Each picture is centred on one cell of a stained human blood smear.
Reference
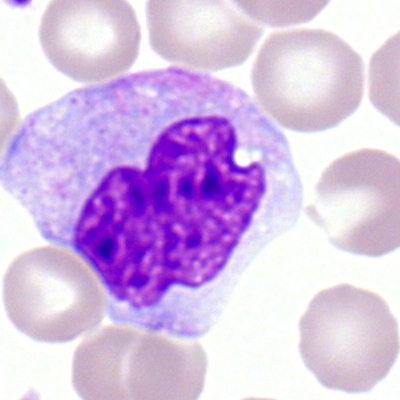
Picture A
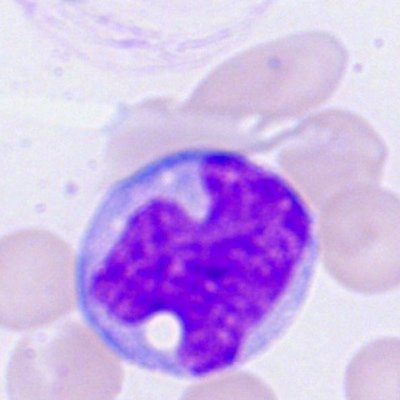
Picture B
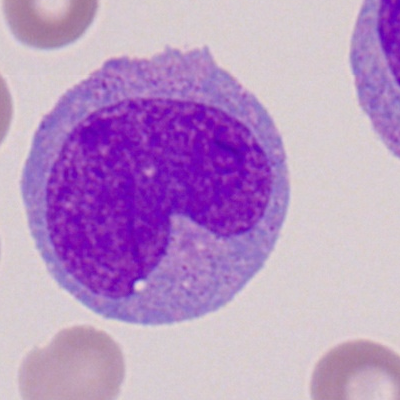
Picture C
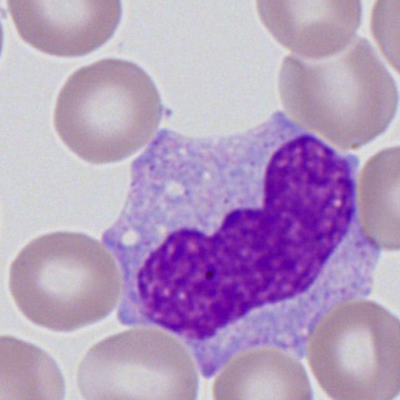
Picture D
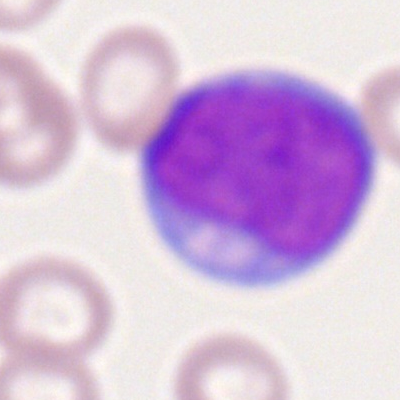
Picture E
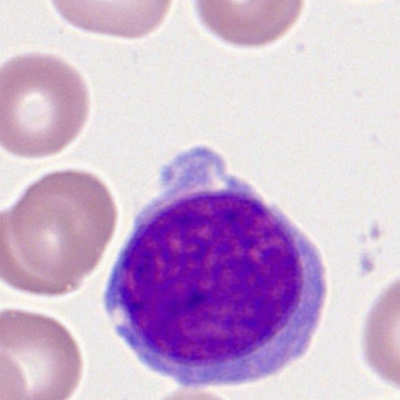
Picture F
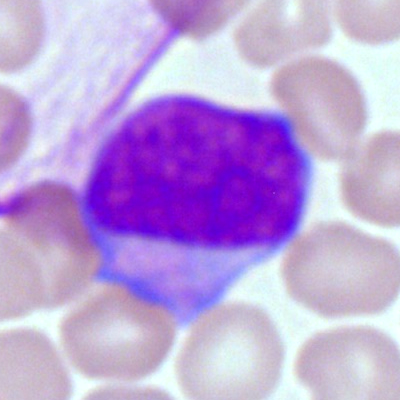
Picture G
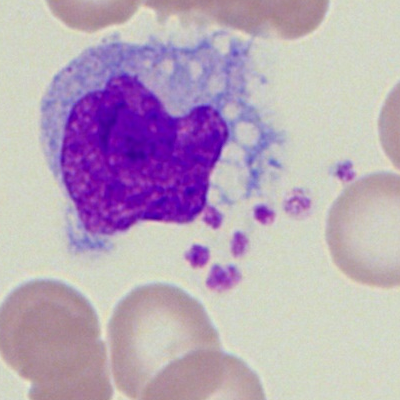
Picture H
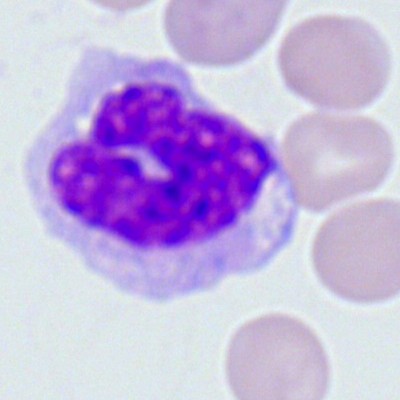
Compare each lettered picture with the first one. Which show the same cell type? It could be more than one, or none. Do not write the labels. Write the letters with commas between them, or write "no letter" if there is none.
A, C, G, H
